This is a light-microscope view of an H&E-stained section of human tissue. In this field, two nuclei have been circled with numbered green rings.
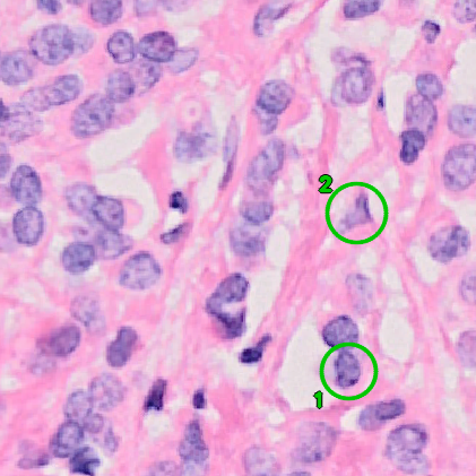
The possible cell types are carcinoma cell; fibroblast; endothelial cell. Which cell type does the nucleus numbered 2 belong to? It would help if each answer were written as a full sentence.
The cell indicated by marker 2 is a fibroblast in this section.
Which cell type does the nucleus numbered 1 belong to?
Cell 1, as marked in the section, is a carcinoma cell.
